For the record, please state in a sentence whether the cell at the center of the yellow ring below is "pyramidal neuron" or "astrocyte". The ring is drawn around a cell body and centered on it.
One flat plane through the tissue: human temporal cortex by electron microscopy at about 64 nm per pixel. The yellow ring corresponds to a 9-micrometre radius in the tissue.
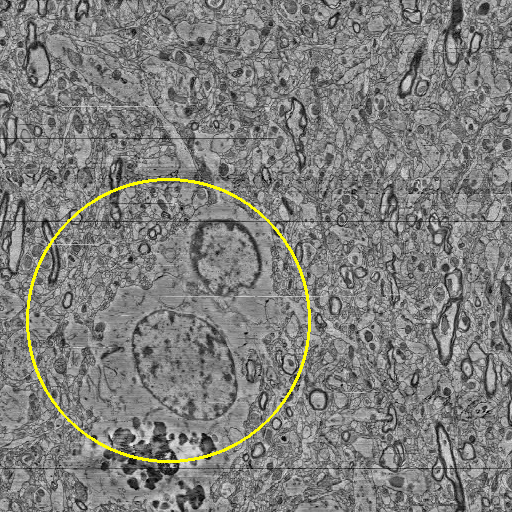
The cell at the ring's center is an astrocyte.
